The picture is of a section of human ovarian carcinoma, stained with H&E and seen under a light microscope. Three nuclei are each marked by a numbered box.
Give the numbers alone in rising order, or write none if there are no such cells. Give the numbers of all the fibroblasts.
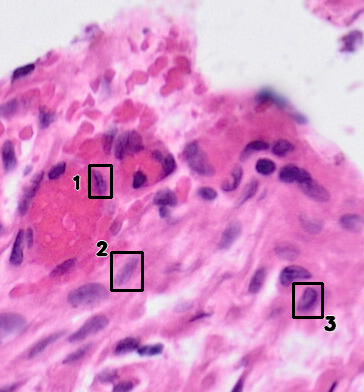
2, 3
